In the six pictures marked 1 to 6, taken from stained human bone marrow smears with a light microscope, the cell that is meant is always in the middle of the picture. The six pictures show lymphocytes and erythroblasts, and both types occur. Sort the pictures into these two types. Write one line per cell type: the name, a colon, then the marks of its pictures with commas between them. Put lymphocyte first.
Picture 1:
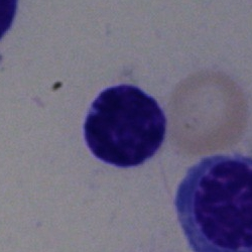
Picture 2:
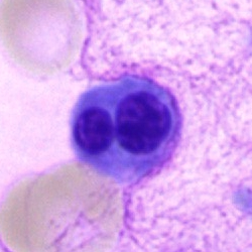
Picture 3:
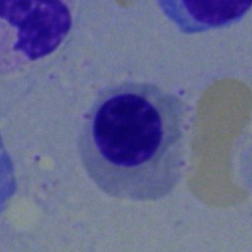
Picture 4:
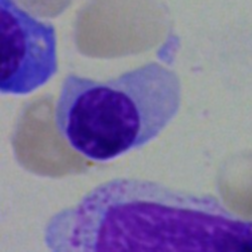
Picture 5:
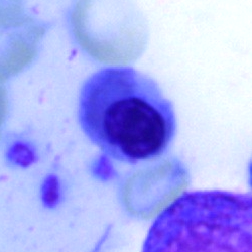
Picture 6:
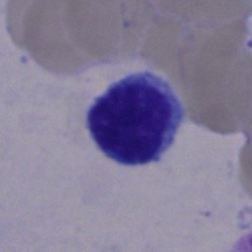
lymphocyte: 1, 6
erythroblast: 2, 3, 4, 5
